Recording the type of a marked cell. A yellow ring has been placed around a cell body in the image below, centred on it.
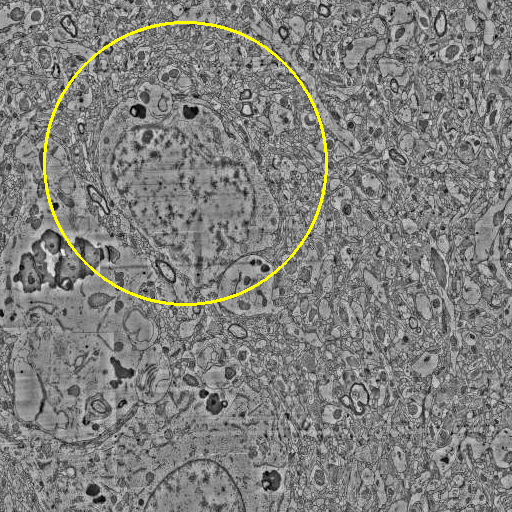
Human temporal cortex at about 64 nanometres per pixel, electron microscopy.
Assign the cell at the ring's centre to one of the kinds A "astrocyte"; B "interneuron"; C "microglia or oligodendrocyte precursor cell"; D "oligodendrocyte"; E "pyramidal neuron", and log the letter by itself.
B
